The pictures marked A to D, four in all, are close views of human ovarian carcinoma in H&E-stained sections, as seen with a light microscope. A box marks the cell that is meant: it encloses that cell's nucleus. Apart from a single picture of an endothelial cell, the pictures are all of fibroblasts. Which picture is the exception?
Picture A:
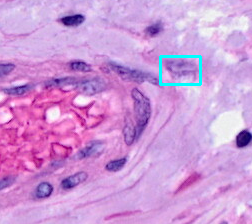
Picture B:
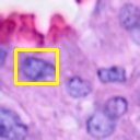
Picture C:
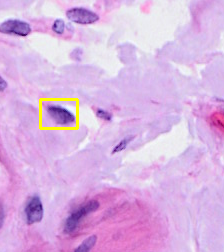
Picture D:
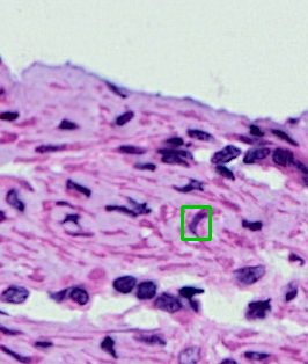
B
